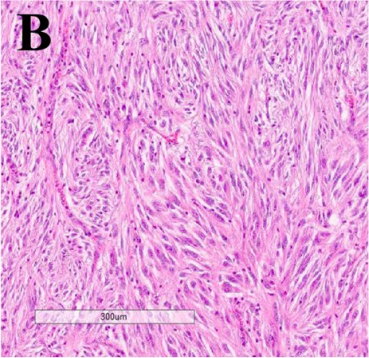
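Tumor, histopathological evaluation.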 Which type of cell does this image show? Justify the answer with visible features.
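Elongated cells with cigar-shaped, tapering nuclei. Cells arranged in intersecting fascicles and bundles. Pink fibrillar cytoplasm with indistinct cell borders. On this evidence: spindle cells.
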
